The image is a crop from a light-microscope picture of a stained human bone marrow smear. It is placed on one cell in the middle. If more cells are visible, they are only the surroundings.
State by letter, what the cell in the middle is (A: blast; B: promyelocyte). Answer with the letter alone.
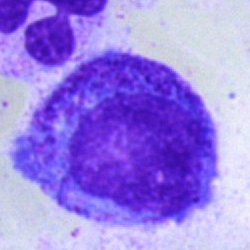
B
